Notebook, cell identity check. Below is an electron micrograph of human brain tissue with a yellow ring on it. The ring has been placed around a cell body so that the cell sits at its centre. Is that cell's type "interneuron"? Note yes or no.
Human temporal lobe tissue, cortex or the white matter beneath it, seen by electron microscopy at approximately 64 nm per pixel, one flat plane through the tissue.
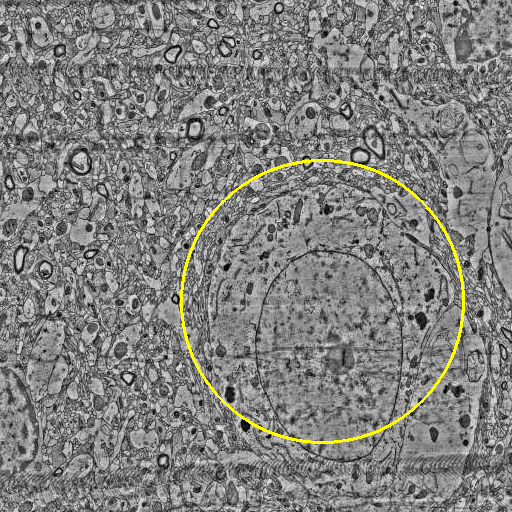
No, its cell type is another one.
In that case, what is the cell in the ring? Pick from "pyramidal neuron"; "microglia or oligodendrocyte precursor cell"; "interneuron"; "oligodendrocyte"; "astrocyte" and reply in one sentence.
The cell marked by the ring is a pyramidal neuron.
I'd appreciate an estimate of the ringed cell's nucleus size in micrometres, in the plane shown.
The ringed cell's nucleus is about 14 micrometres long and 10 micrometres wide in this plane.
